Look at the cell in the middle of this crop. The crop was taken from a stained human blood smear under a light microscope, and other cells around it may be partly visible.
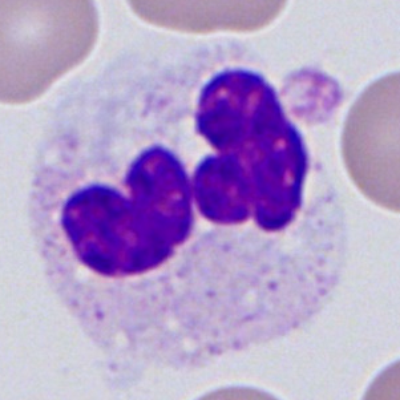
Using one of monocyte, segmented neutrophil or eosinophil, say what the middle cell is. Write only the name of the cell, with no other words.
segmented neutrophil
